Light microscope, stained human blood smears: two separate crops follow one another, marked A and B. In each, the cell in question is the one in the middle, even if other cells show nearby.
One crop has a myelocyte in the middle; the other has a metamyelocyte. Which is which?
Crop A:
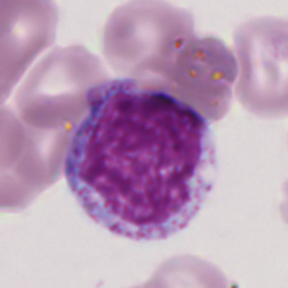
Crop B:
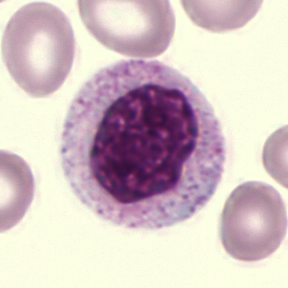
A: myelocyte
B: metamyelocyte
